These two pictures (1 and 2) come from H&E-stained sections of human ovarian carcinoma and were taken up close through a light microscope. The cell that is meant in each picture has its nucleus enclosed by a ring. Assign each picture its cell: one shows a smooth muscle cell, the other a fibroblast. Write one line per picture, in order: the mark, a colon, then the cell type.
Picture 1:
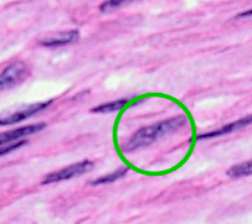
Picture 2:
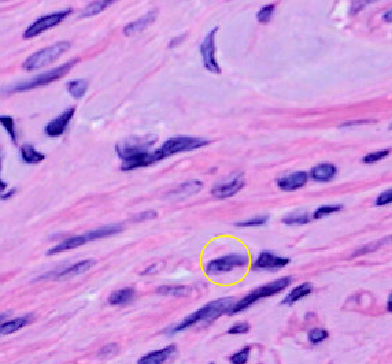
1: fibroblast
2: smooth muscle cell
